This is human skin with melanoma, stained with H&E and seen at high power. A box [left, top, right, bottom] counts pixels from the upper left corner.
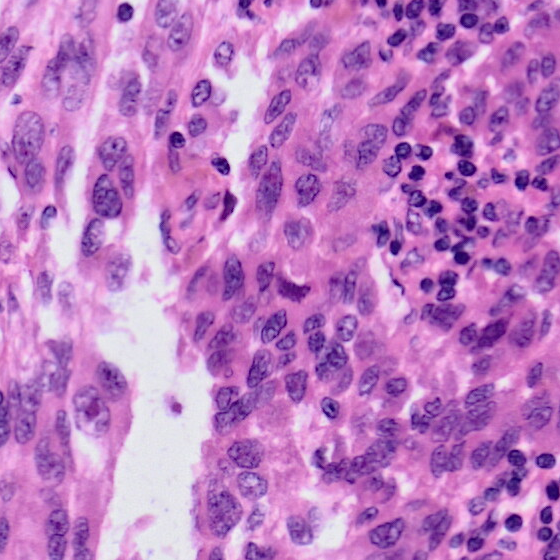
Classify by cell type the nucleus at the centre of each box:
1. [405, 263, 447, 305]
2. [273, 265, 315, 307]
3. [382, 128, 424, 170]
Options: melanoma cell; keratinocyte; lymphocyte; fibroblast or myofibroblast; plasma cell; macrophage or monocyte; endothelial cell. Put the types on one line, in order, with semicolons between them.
lymphocyte; melanoma cell; lymphocyte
